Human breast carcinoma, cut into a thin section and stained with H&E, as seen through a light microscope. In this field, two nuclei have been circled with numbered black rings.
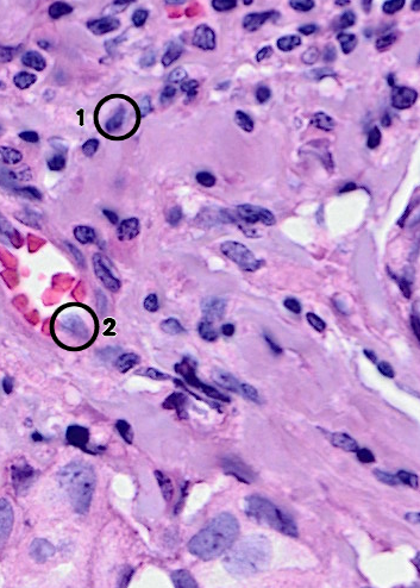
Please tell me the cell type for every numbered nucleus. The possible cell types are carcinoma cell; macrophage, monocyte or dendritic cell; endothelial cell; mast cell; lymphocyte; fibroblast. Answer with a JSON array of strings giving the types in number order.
["lymphocyte", "endothelial cell"]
